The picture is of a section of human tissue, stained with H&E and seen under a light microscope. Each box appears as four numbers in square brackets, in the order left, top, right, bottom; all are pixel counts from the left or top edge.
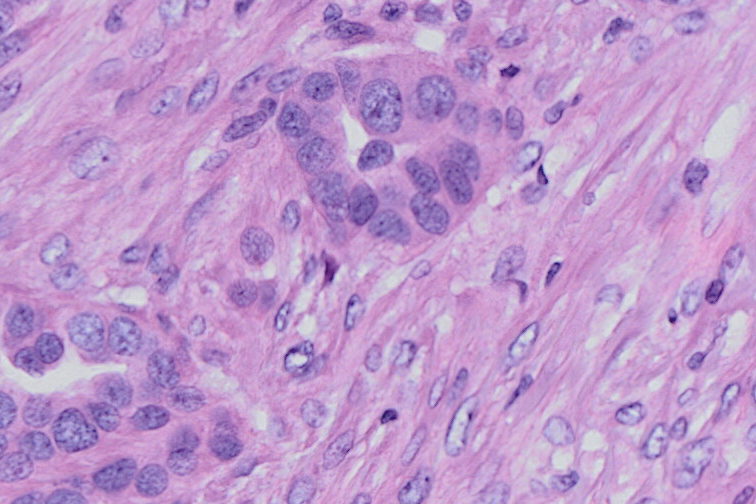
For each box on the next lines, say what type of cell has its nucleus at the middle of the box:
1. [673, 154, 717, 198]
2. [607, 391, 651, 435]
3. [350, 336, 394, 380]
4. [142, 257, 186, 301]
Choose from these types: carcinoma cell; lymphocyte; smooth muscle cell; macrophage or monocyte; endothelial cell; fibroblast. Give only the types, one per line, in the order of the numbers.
macrophage or monocyte
fibroblast
fibroblast
fibroblast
